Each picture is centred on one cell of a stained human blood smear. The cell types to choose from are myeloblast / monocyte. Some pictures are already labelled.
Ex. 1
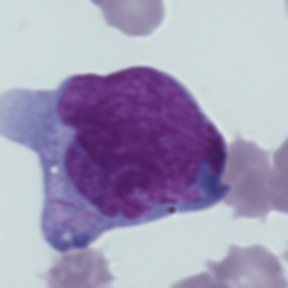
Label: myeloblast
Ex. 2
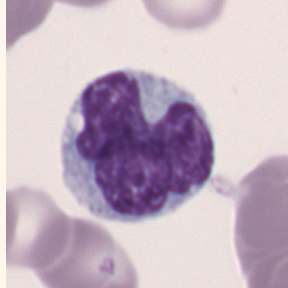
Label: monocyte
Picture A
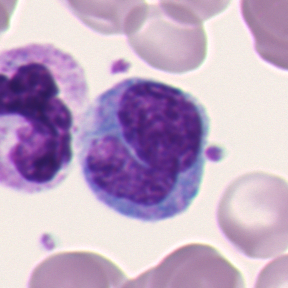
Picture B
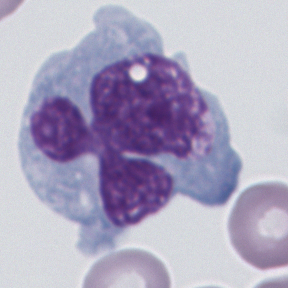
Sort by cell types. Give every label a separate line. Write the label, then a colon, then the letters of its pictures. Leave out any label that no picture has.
monocyte: A, B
